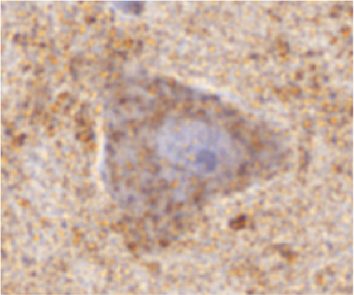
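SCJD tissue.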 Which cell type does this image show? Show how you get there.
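A large triangular cell body fills the centre. A round pale nucleus sits in the cell body. Brown granules fill the cytoplasm around the nucleus.
Answer: Neurons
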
